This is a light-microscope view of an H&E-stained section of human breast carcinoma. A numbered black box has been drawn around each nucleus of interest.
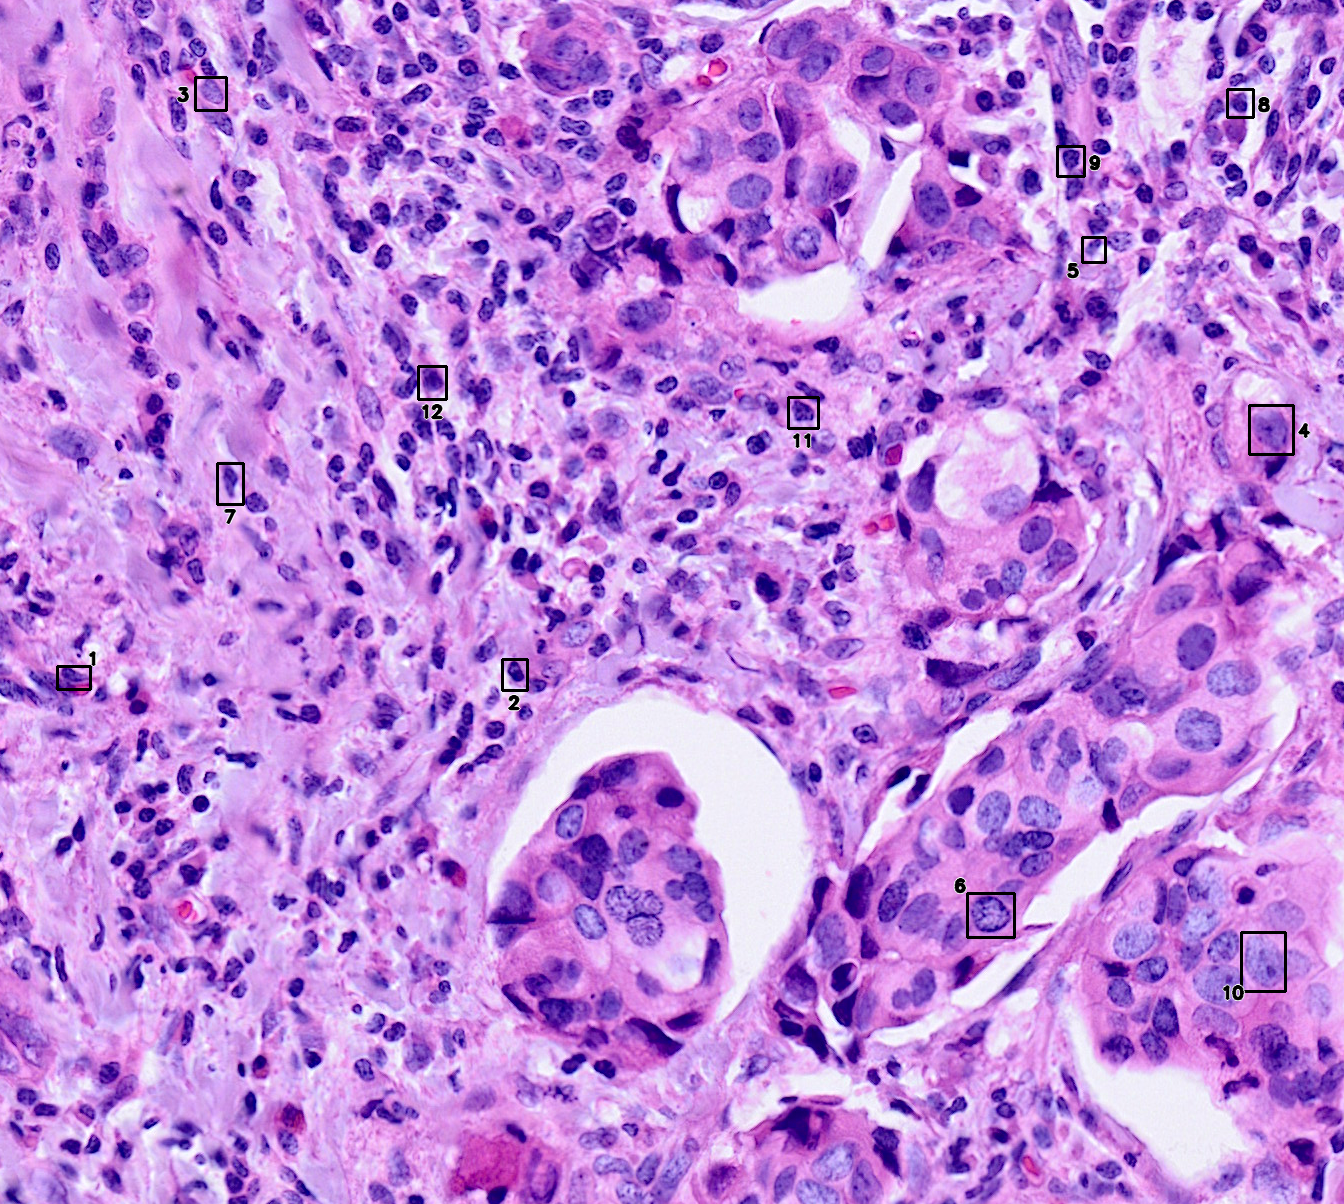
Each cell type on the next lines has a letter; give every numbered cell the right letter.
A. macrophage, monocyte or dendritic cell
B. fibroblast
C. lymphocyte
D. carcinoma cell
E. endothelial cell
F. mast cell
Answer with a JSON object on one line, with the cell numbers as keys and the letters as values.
{"1": "E", "2": "C", "3": "E", "4": "D", "5": "C", "6": "D", "7": "C", "8": "C", "9": "C", "10": "D", "11": "C", "12": "C"}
